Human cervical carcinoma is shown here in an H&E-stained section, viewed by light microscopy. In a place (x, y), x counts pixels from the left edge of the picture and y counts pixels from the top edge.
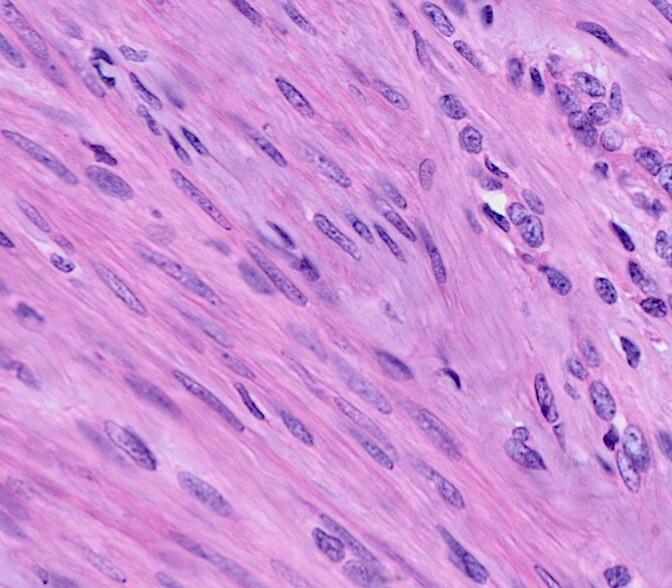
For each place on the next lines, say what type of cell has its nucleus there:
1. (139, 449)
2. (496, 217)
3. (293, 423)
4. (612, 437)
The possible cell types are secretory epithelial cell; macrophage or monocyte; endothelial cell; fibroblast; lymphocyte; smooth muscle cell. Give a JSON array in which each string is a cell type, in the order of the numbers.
["fibroblast", "endothelial cell", "smooth muscle cell", "endothelial cell"]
